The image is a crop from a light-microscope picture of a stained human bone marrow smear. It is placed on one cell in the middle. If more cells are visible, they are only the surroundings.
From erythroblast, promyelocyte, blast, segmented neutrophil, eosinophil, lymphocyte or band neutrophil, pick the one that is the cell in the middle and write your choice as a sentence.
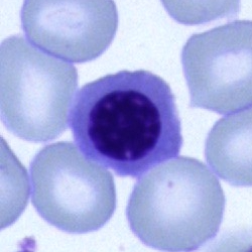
The cell shown in the center of this light-microscope crop is an erythroblast.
